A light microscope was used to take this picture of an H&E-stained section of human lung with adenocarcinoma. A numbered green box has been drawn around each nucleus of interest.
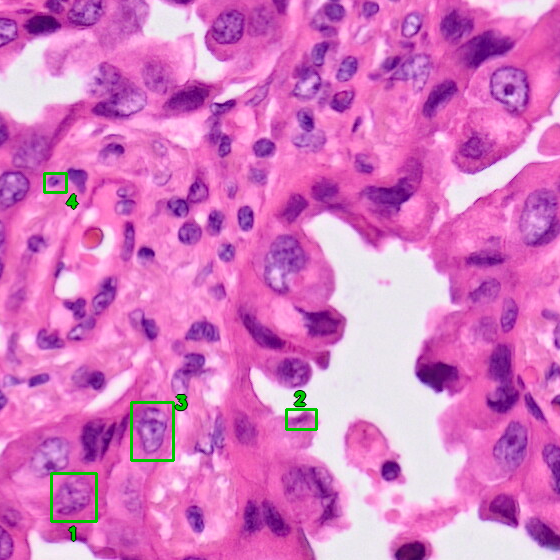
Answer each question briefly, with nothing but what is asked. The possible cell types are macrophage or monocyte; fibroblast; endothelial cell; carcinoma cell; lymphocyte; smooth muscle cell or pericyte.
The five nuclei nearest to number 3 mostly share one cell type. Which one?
carcinoma cell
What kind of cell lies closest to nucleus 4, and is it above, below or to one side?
a lymphocyte, to the right of nucleus 4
